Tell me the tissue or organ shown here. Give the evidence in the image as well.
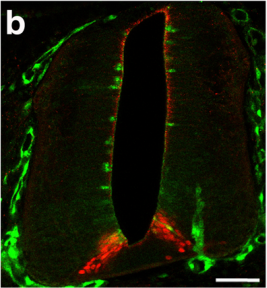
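A bilaterally symmetric neural tube cut in cross section. A narrow elongated central canal runs along the midline. The answer: spinal cord.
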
